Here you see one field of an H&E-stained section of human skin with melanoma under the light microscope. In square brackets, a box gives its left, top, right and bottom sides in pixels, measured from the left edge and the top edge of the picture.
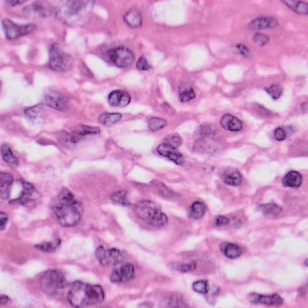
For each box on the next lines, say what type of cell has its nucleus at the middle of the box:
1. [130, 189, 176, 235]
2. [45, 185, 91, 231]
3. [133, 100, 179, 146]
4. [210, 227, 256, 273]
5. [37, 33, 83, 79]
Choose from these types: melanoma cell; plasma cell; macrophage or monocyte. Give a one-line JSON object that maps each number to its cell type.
{"1": "melanoma cell", "2": "melanoma cell", "3": "macrophage or monocyte", "4": "macrophage or monocyte", "5": "melanoma cell"}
